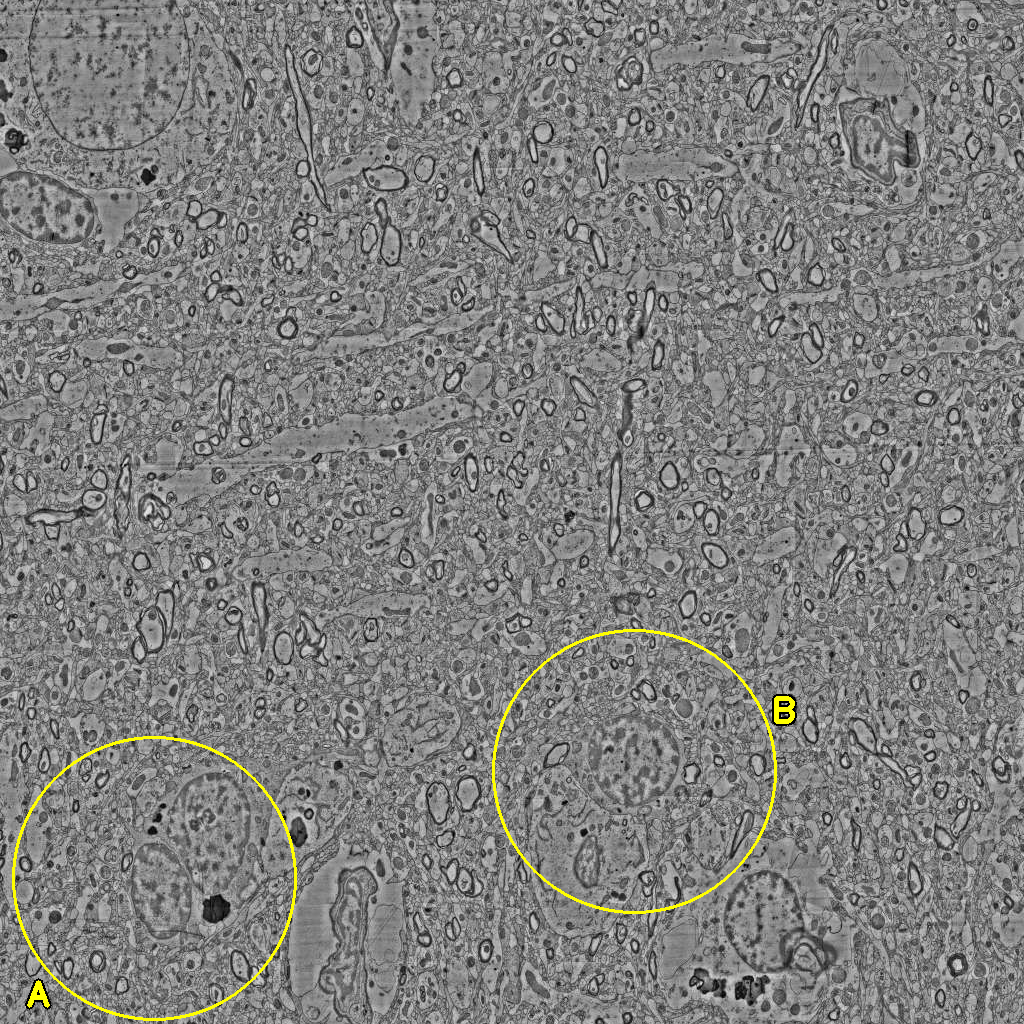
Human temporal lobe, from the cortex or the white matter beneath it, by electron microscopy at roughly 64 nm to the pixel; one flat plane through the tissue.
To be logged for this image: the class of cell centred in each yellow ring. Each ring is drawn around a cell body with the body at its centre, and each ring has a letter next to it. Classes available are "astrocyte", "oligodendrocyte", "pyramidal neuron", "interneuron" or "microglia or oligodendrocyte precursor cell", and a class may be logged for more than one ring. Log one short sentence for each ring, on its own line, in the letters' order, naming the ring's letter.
The class recorded for ring A is an oligodendrocyte.
The class recorded for ring B is an oligodendrocyte.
